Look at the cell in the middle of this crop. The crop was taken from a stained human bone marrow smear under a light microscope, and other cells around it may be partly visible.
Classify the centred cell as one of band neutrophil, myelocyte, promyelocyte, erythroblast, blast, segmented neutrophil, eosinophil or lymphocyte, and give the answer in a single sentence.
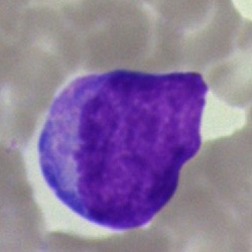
This crop's central cell is a blast.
